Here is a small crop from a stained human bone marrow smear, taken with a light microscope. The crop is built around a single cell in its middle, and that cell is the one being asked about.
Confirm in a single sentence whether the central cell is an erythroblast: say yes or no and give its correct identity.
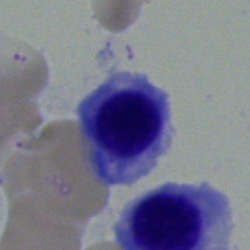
Yes, the cell right in the middle is an erythroblast.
